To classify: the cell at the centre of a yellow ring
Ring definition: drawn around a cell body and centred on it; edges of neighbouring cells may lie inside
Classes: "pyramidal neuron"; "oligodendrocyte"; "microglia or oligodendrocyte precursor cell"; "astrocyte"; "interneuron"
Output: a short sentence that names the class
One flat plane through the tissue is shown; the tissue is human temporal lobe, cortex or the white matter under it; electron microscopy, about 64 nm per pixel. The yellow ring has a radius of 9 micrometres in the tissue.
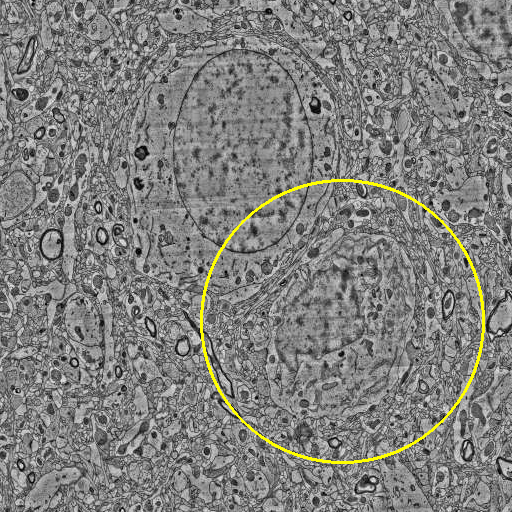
The ringed cell is an interneuron.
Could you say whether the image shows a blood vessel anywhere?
No, none appears.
